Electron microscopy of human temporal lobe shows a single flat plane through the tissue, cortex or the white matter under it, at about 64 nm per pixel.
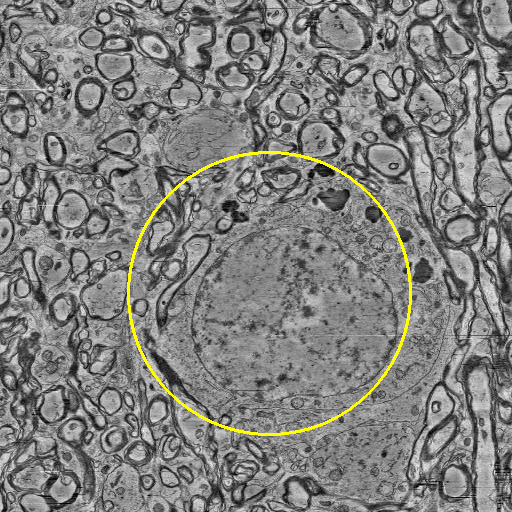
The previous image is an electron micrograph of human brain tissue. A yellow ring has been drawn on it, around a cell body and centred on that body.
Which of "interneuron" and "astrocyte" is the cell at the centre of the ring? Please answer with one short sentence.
The cell body at the centre of the ring belongs to an interneuron.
